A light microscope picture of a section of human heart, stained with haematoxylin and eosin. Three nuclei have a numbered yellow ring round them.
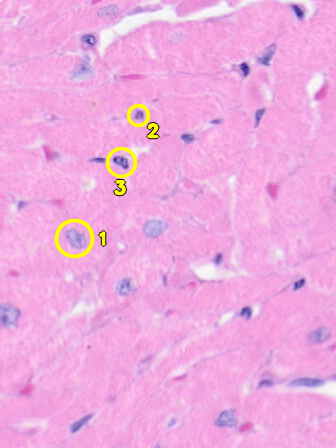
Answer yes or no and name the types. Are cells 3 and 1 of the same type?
No, cell 3 is an endothelial cell whereas cell 1 is a cardiomyocyte.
